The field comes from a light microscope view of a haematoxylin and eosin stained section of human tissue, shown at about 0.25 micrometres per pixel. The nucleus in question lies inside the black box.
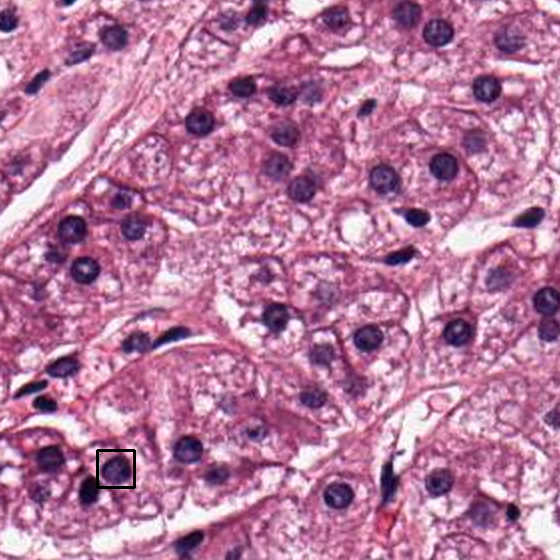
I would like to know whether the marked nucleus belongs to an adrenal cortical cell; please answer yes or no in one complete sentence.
Yes, an adrenal cortical cell is the owner of the marked nucleus.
